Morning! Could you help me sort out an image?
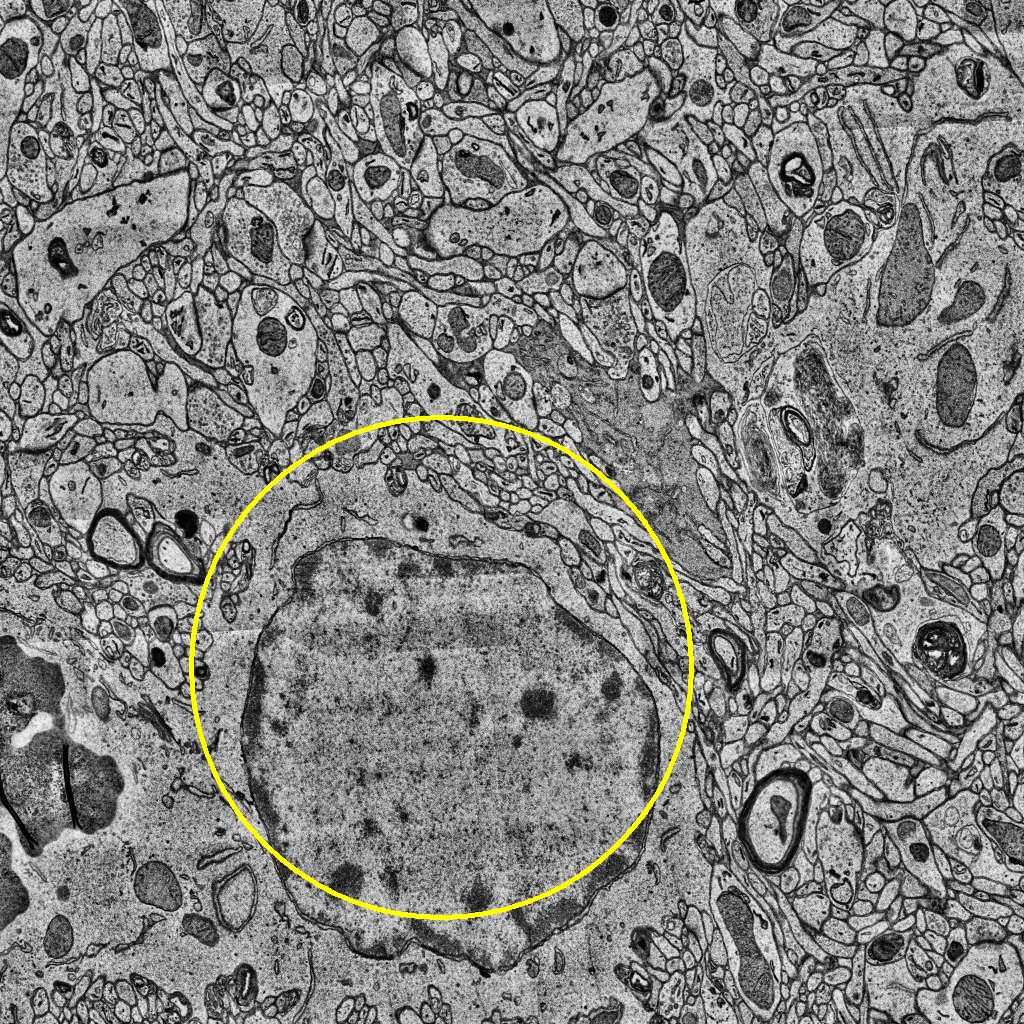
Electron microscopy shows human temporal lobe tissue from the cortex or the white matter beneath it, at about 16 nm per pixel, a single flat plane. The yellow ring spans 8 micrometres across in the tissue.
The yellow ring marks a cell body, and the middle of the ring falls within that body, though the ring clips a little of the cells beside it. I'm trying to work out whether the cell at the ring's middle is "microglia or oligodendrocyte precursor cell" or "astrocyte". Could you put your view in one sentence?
The cell body at the ring's middle is that of an astrocyte.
